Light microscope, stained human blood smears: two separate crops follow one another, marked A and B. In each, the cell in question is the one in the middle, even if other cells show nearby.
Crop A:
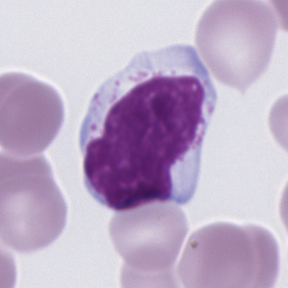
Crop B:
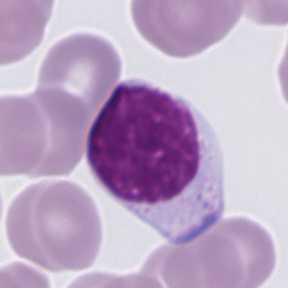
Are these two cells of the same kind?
yes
